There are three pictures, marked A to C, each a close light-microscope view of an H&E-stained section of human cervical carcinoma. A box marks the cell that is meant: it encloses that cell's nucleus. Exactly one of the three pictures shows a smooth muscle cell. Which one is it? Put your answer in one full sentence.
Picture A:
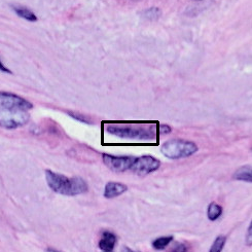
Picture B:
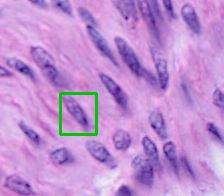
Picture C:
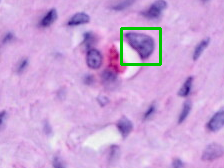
Picture B shows the smooth muscle cell.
